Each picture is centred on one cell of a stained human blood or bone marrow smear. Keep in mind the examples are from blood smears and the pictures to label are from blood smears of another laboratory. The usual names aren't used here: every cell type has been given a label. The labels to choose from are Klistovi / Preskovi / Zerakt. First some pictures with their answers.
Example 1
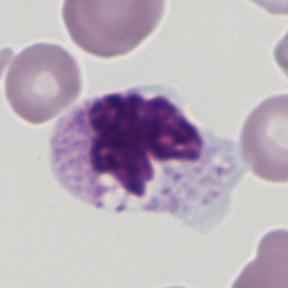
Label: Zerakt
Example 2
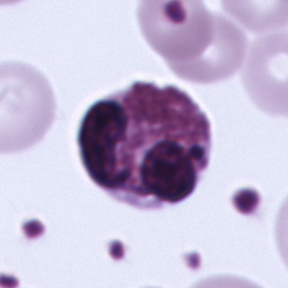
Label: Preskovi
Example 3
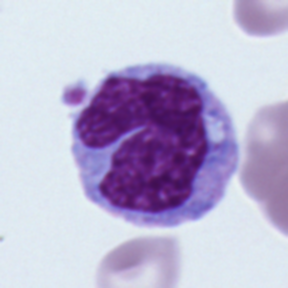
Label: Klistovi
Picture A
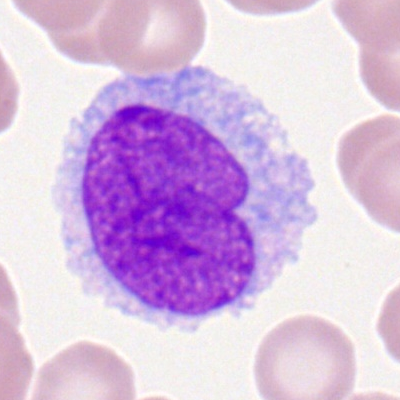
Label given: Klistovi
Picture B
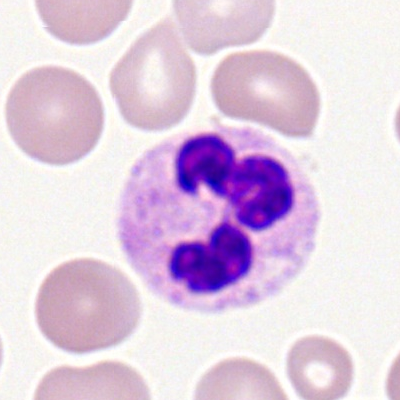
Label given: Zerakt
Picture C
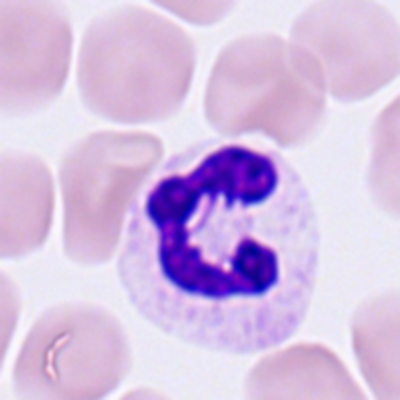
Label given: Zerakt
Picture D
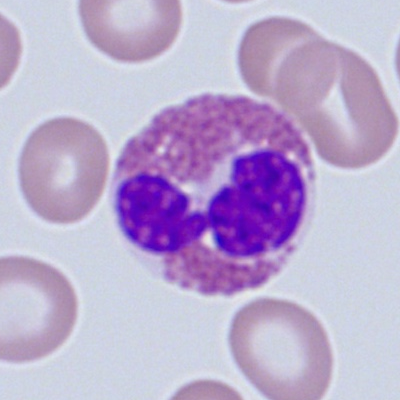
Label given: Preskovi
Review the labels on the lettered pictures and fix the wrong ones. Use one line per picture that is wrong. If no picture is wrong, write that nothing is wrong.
All labels are correct.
